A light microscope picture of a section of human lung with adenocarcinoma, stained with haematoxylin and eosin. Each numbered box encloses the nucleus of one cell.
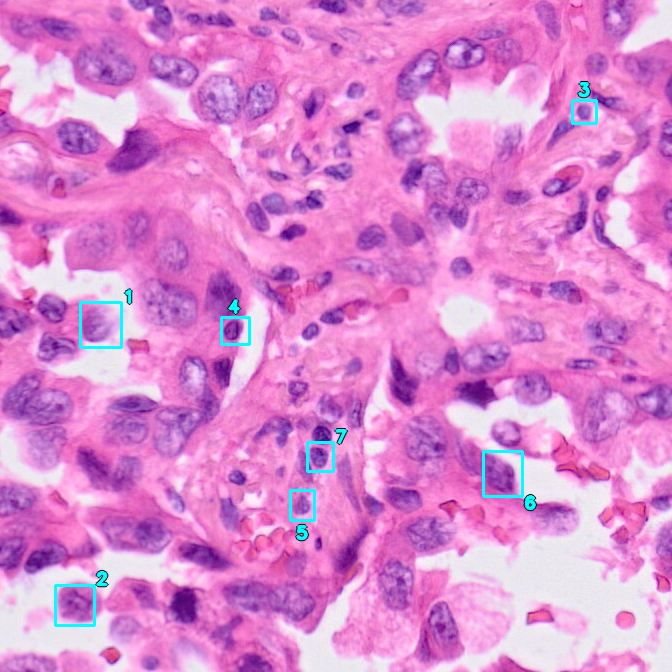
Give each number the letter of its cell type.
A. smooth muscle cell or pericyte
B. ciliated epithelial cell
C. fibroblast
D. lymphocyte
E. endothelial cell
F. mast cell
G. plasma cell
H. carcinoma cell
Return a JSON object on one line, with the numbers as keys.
{"1": "H", "2": "H", "3": "D", "4": "D", "5": "D", "6": "H", "7": "D"}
